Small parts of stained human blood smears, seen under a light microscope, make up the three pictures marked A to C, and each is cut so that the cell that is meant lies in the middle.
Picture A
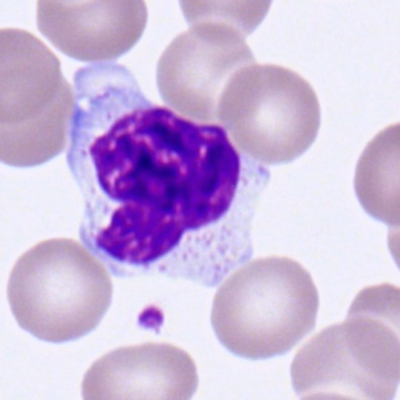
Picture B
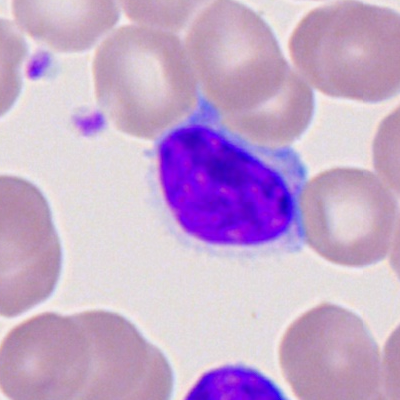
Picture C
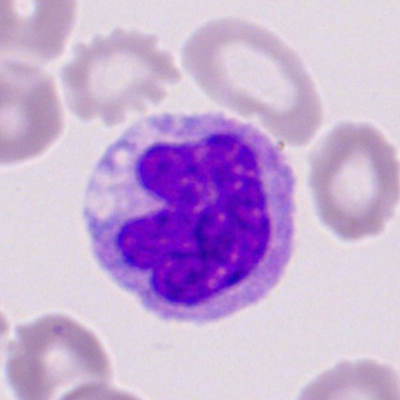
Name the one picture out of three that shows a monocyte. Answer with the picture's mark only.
C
